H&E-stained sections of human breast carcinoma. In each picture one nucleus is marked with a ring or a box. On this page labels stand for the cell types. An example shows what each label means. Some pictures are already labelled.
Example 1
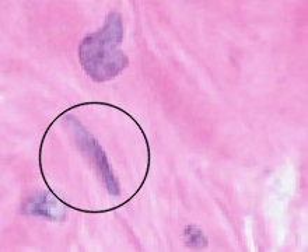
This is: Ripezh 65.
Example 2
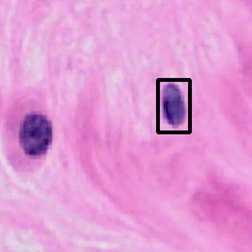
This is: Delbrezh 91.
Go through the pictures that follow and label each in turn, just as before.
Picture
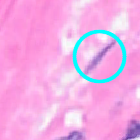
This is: Ripezh 65.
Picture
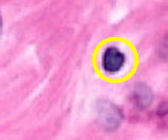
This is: Delbrezh 91.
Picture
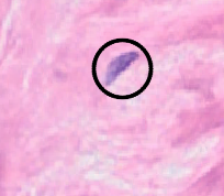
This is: Ripezh 65.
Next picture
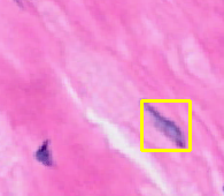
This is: Ripezh 65.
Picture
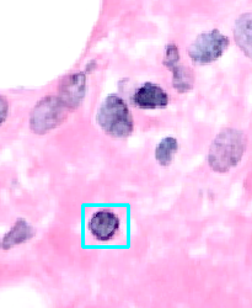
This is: Delbrezh 91.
